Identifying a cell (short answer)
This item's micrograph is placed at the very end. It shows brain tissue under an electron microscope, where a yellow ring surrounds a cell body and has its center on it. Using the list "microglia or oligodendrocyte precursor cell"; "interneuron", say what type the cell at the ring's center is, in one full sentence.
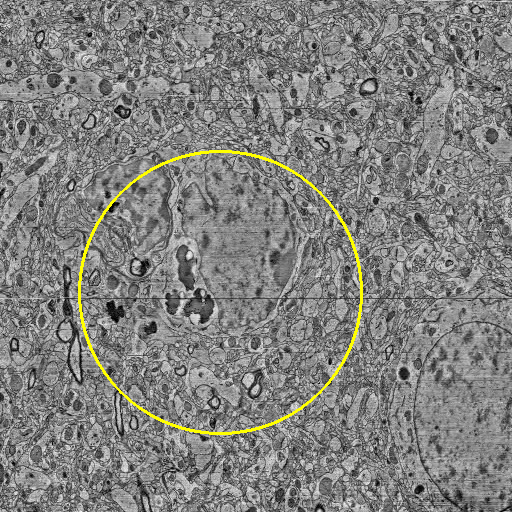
This picture shows an interneuron at the center of the yellow ring drawn on it.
